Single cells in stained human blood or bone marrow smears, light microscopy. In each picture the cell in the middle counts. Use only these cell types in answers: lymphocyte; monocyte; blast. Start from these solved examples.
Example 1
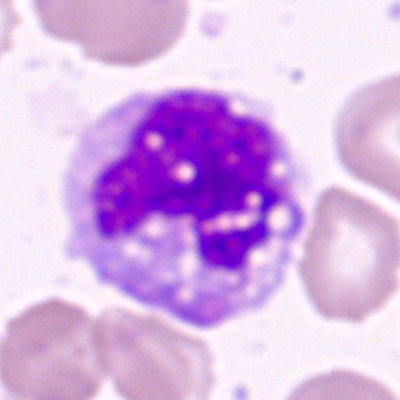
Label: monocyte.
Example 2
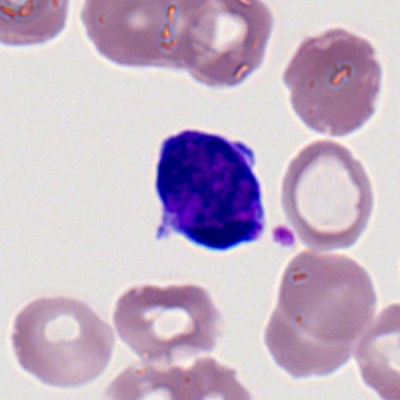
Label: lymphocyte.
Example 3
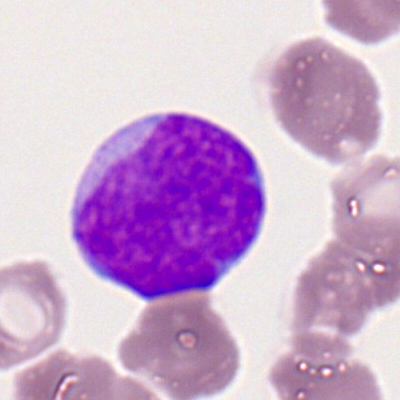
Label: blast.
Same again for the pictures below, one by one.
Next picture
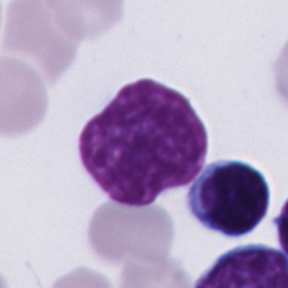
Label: blast.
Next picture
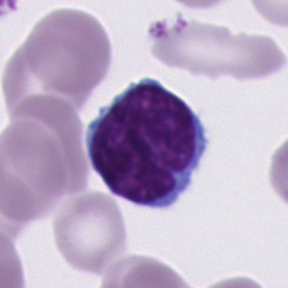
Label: lymphocyte.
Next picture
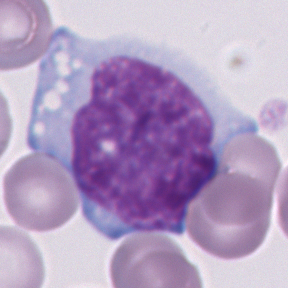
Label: blast.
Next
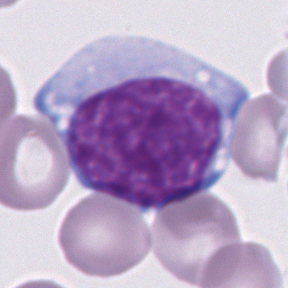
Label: blast.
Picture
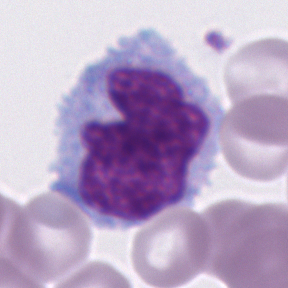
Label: monocyte.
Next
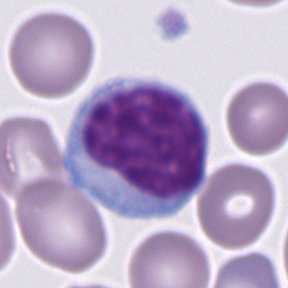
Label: lymphocyte.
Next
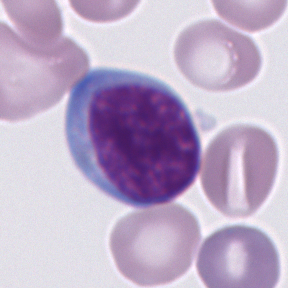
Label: lymphocyte.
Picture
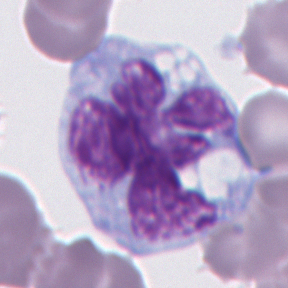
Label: monocyte.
